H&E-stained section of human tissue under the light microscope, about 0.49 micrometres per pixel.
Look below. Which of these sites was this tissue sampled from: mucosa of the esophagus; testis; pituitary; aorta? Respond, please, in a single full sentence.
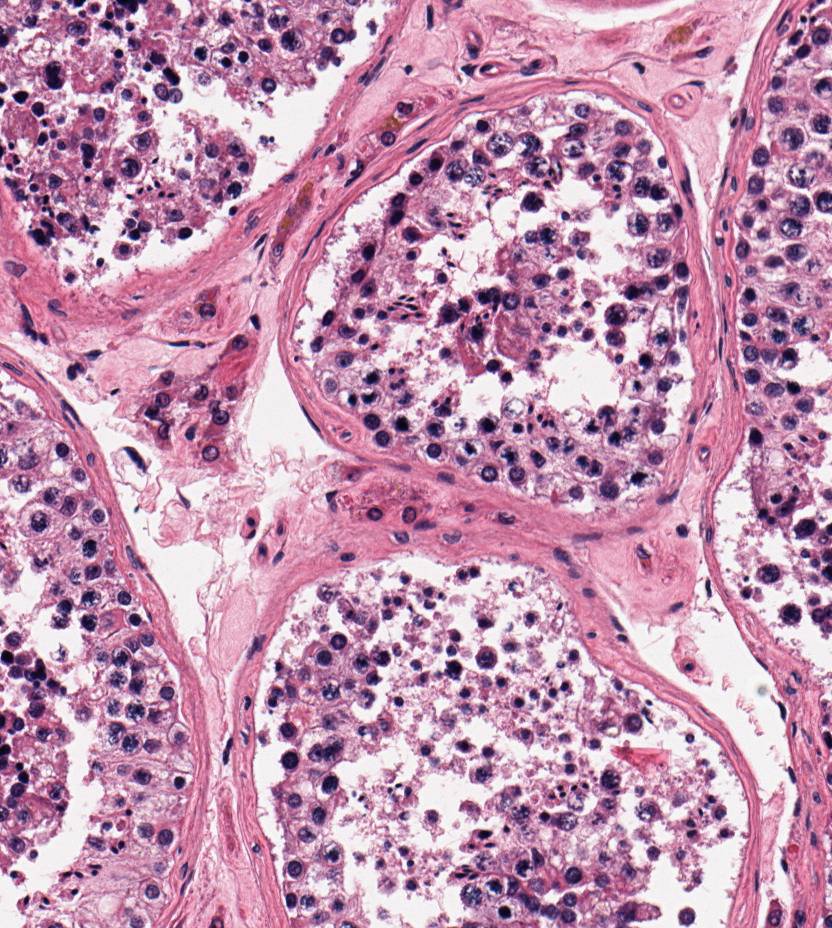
Tissue sampled from the testis forms this section.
